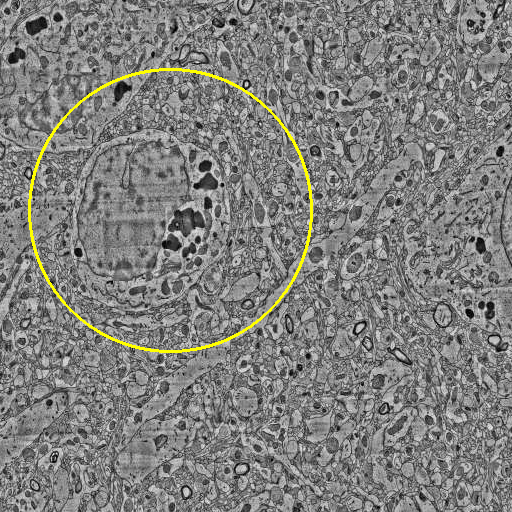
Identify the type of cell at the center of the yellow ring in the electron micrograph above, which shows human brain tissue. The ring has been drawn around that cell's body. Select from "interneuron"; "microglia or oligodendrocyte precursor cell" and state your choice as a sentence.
The yellow ring is centered on the body of an interneuron.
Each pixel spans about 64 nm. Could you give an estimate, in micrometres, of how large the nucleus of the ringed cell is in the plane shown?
Approximately 9 micrometres across, in this plane.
